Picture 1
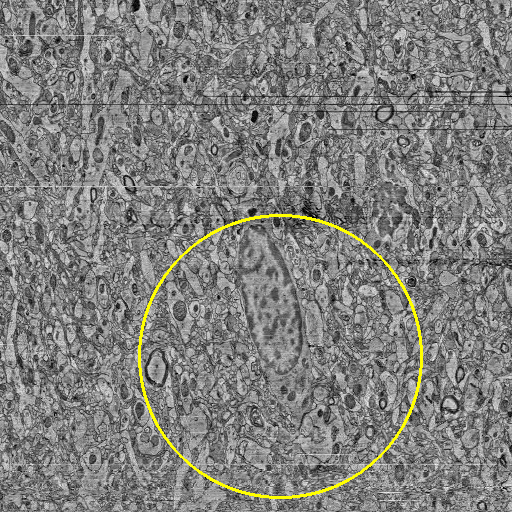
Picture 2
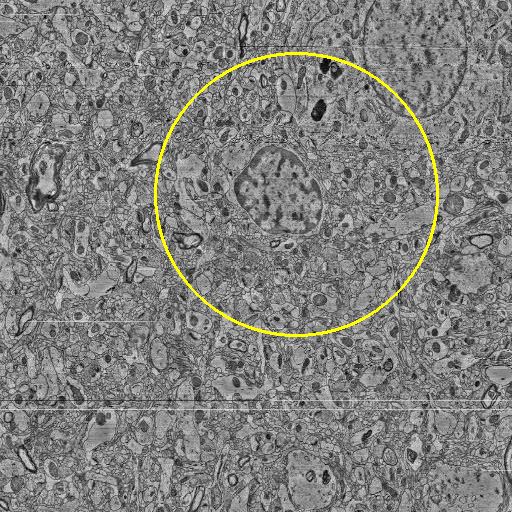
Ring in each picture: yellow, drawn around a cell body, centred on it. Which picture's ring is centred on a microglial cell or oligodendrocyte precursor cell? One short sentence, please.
Picture 2 is the one.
